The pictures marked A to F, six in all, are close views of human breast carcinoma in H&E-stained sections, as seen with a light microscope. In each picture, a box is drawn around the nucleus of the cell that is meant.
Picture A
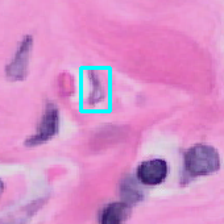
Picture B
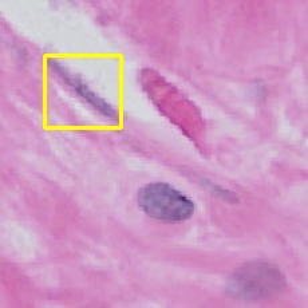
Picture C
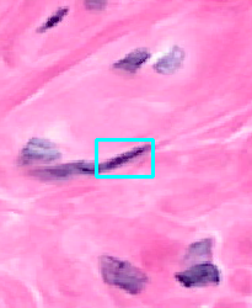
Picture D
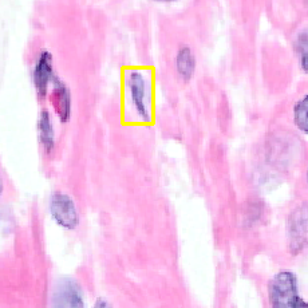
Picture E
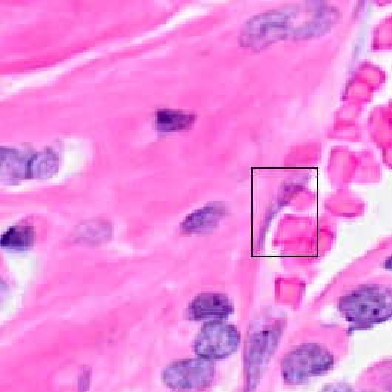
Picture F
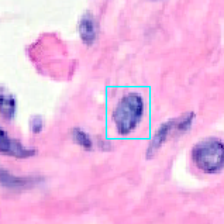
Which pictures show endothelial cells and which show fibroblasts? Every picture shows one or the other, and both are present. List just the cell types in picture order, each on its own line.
endothelial cell
endothelial cell
fibroblast
fibroblast
endothelial cell
endothelial cell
